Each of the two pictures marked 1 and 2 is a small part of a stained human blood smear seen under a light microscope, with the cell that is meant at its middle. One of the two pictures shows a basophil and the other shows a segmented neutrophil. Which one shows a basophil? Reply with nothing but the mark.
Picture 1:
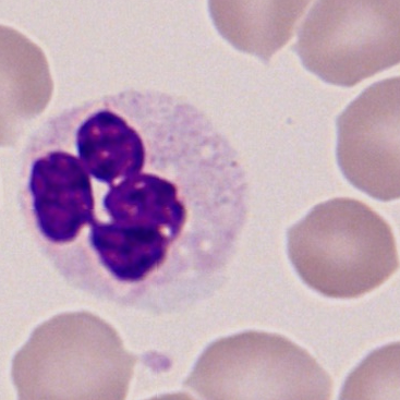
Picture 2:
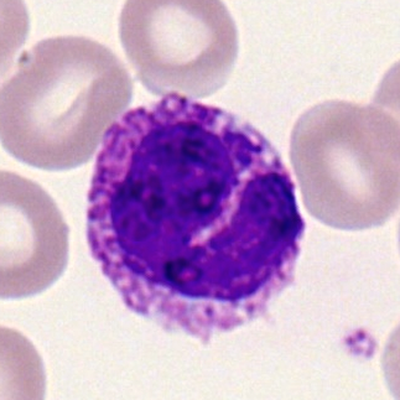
2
